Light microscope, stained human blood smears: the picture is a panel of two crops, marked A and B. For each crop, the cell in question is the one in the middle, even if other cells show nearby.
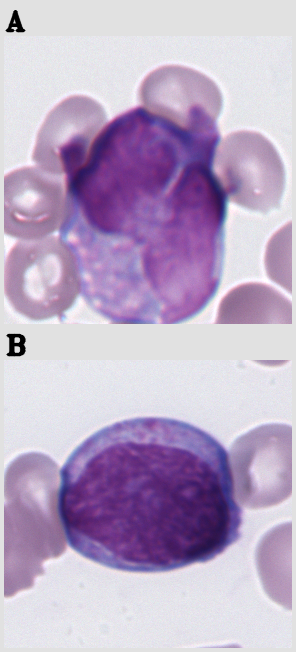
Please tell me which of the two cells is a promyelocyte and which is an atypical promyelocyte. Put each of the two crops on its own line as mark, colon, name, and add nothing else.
A: atypical promyelocyte
B: promyelocyte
